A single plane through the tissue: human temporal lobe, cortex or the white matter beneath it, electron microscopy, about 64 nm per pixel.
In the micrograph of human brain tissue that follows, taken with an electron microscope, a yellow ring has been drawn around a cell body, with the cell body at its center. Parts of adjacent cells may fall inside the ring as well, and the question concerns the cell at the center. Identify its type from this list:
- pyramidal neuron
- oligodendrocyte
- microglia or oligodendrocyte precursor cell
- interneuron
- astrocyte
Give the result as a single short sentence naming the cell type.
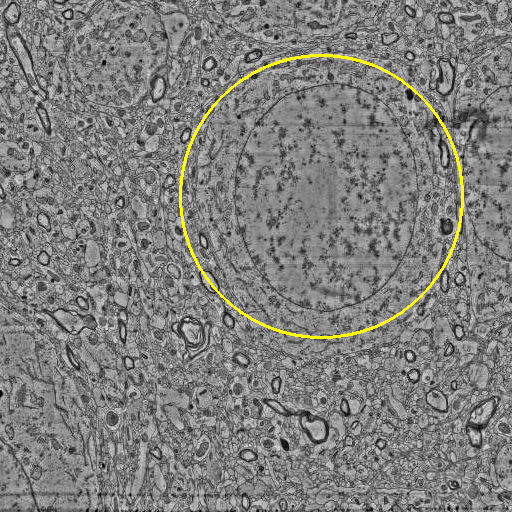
The ring is centered on a pyramidal neuron.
